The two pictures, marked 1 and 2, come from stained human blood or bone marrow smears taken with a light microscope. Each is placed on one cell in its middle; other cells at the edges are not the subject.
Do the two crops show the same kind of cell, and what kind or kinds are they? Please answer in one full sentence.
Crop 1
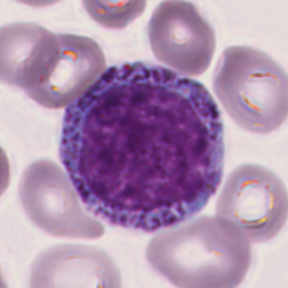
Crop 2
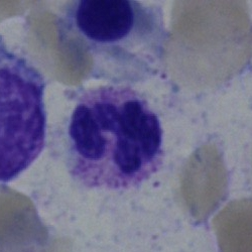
No: a promyelocyte sits in crop 1, and a basophil sits in crop 2.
